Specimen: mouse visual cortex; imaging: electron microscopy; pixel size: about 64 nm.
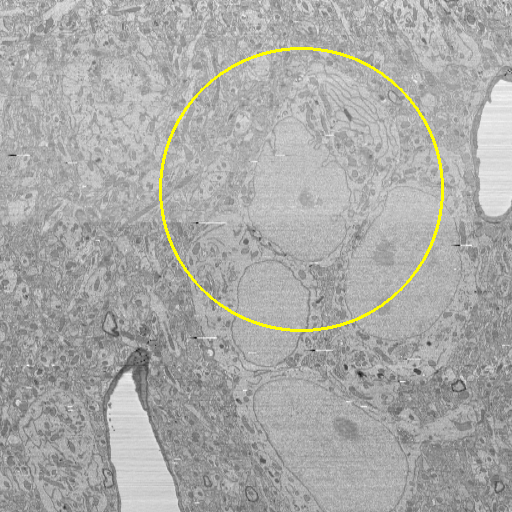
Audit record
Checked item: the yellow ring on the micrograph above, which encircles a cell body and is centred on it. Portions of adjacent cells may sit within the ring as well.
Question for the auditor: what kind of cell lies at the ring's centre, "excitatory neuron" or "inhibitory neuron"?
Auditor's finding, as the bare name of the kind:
inhibitory neuron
